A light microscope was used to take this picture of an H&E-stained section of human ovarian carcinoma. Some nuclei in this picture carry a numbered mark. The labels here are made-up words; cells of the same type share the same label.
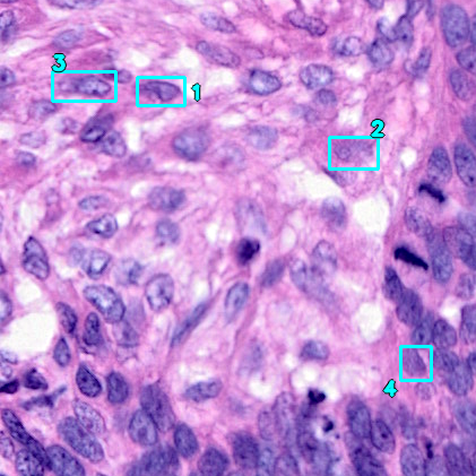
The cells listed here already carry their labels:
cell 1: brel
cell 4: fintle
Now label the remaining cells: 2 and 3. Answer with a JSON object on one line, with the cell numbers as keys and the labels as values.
{"2": "brel", "3": "brel"}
